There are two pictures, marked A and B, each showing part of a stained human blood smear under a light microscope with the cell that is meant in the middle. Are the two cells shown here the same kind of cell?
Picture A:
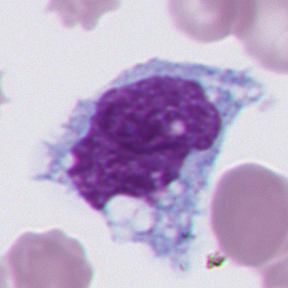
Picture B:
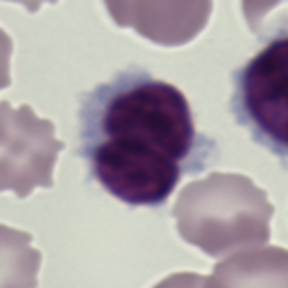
no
